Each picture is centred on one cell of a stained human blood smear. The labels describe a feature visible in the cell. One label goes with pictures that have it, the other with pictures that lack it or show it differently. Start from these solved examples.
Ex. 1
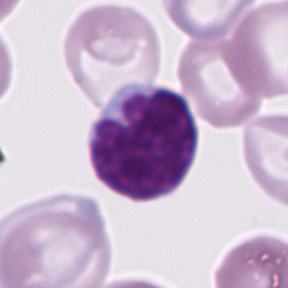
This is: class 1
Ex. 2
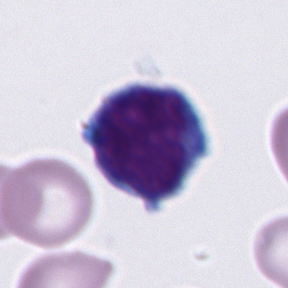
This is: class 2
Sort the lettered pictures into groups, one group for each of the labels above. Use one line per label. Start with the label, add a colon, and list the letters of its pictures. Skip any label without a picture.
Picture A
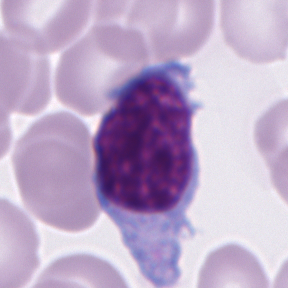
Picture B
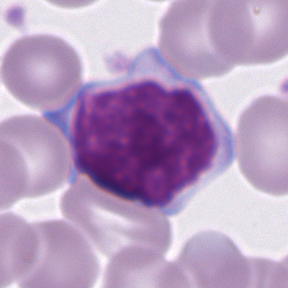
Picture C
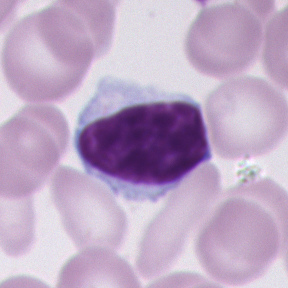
class 2: A, B, C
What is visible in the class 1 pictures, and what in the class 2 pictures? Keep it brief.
In class 1: smooth outline. In class 2: ragged outline or projections.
